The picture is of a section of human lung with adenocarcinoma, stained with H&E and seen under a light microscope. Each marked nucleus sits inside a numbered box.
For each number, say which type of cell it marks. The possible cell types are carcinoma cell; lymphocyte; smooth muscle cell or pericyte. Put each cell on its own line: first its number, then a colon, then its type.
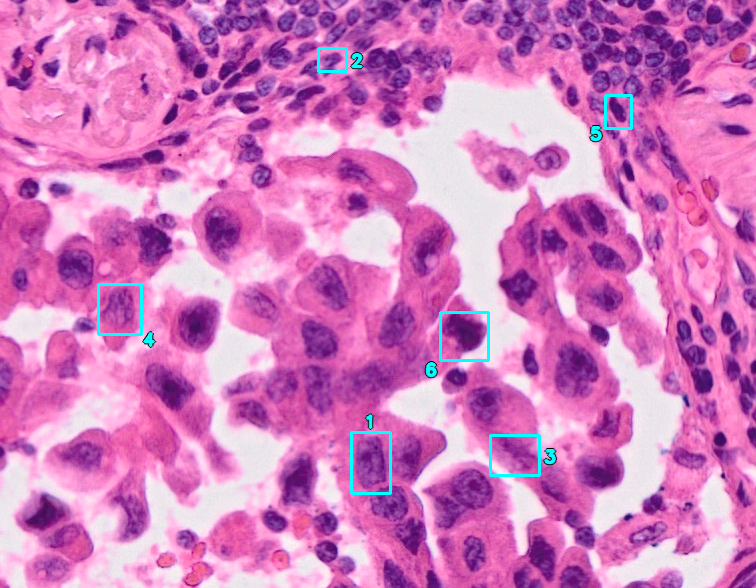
1: carcinoma cell
2: lymphocyte
3: carcinoma cell
4: carcinoma cell
5: lymphocyte
6: carcinoma cell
